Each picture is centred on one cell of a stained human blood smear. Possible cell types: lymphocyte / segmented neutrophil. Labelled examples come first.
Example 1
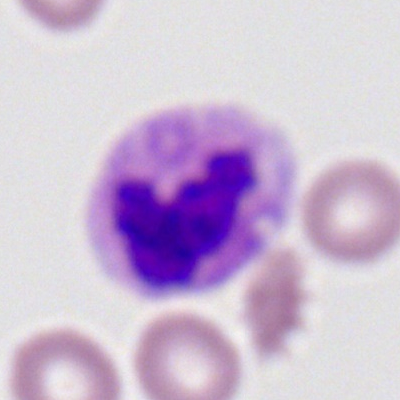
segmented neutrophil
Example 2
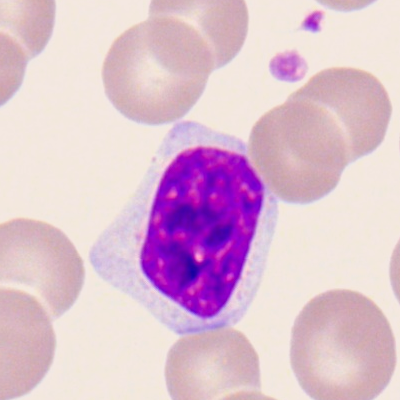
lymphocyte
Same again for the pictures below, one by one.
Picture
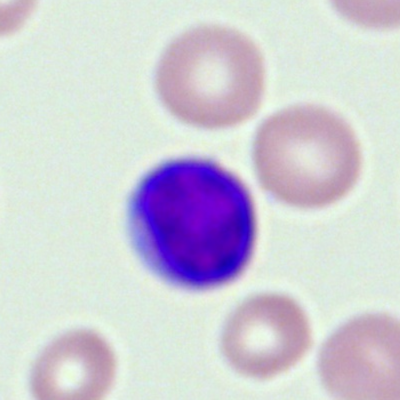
lymphocyte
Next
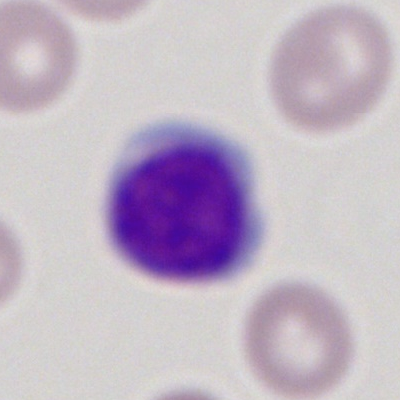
lymphocyte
